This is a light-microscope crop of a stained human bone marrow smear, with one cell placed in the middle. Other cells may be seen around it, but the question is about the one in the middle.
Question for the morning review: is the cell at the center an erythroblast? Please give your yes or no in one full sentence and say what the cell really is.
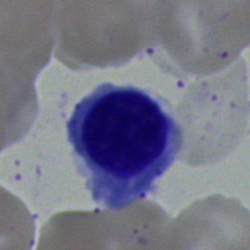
Yes, the cell positioned at the centre of the crop is an erythroblast.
